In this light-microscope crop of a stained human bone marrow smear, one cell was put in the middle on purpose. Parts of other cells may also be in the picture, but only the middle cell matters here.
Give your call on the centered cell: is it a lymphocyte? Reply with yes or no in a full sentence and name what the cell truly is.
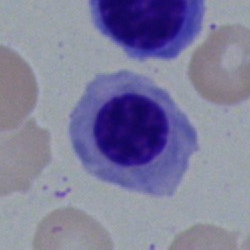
No, the central cell is not a lymphocyte; it is an erythroblast.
